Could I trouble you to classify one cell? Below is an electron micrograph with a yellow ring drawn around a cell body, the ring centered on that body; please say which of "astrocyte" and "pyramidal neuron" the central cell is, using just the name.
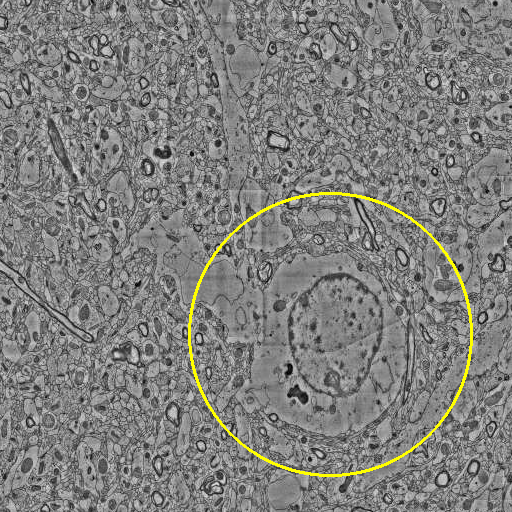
astrocyte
